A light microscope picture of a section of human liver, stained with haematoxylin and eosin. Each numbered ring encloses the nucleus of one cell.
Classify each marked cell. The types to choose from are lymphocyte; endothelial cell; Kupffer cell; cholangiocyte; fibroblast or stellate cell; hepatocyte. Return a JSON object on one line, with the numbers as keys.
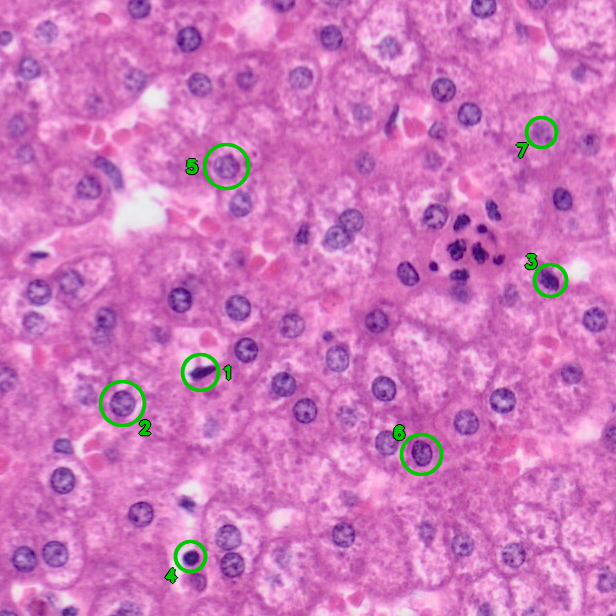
{"1": "endothelial cell", "2": "hepatocyte", "3": "fibroblast or stellate cell", "4": "lymphocyte", "5": "hepatocyte", "6": "hepatocyte", "7": "hepatocyte"}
